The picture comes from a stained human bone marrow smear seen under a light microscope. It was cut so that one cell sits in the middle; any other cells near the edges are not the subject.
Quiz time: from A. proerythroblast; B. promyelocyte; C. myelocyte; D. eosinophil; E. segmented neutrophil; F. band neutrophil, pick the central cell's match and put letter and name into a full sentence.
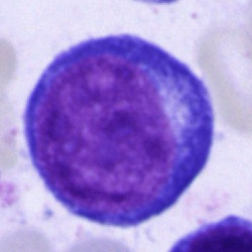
Here the right option is A, as the cell in the middle is a proerythroblast.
